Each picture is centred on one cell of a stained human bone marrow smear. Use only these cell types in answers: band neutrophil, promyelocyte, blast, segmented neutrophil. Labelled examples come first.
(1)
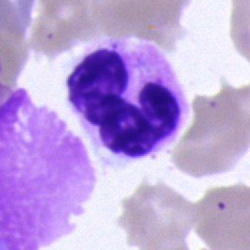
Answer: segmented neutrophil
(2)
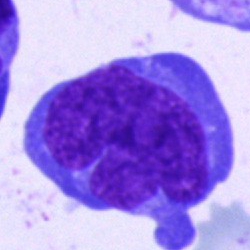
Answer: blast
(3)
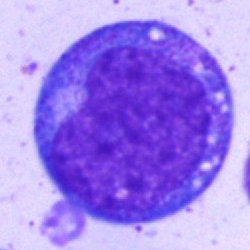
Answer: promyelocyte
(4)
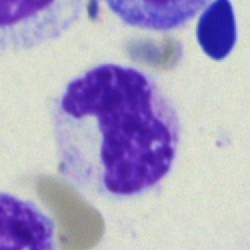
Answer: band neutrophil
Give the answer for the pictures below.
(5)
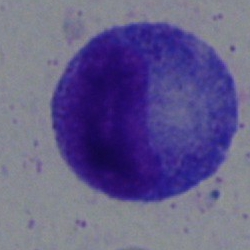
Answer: promyelocyte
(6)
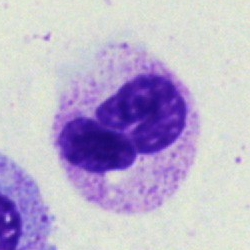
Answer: segmented neutrophil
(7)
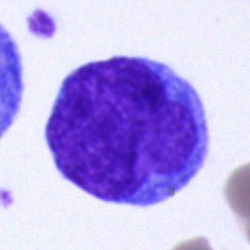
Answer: blast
